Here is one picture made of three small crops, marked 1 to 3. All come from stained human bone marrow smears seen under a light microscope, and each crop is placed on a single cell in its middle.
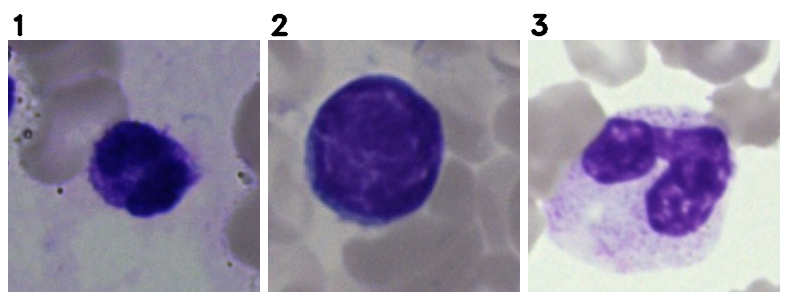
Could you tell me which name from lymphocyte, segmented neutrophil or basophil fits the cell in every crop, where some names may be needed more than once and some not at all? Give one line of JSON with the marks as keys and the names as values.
{"1": "basophil", "2": "lymphocyte", "3": "segmented neutrophil"}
